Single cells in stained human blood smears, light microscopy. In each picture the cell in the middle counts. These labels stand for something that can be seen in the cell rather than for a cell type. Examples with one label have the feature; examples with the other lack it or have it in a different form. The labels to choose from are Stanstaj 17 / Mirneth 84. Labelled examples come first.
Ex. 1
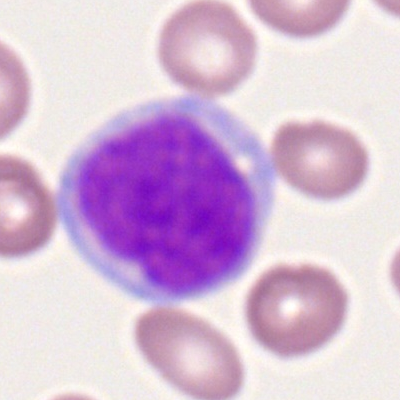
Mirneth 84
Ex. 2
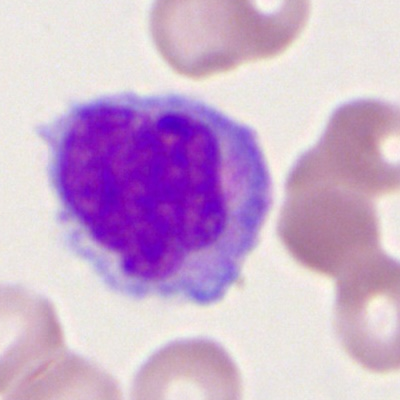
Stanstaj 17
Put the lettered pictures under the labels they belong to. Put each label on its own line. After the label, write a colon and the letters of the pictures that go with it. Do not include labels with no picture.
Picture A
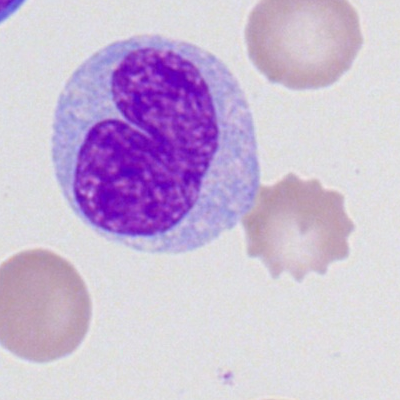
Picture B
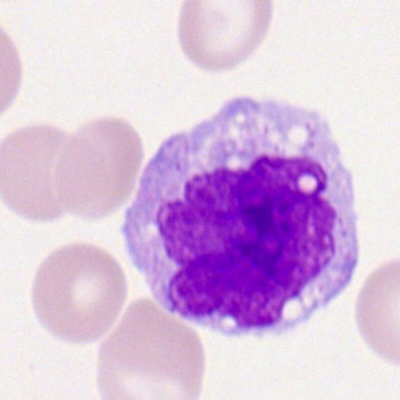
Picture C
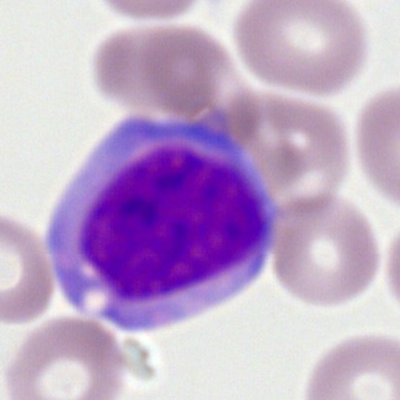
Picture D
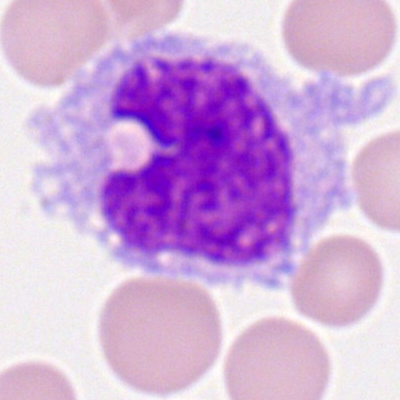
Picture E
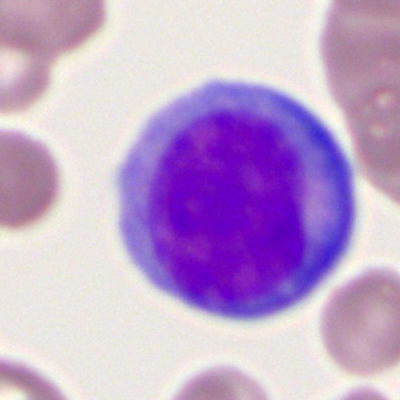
Stanstaj 17: A, E
Mirneth 84: B, C, D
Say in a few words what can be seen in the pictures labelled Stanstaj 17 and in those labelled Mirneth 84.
In Stanstaj 17: no vacuoles. In Mirneth 84: vacuoles present.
